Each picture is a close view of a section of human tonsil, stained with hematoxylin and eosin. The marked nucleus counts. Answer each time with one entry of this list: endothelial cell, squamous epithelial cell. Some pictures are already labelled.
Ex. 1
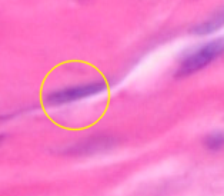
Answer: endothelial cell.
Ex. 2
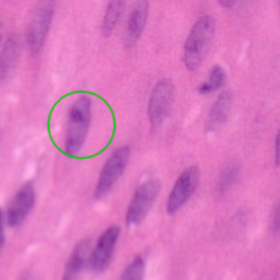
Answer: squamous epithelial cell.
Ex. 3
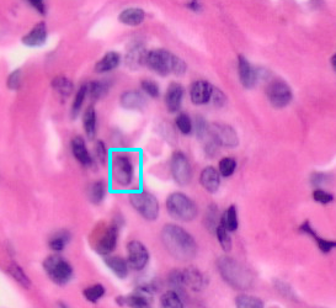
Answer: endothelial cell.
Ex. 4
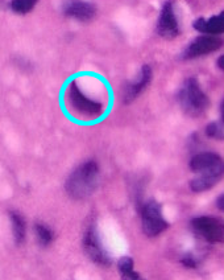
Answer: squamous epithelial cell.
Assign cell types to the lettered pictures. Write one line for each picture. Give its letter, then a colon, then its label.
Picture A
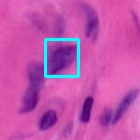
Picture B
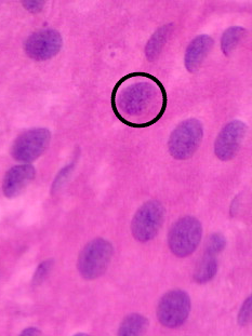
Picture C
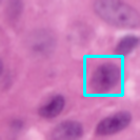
A: endothelial cell.
B: squamous epithelial cell.
C: squamous epithelial cell.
